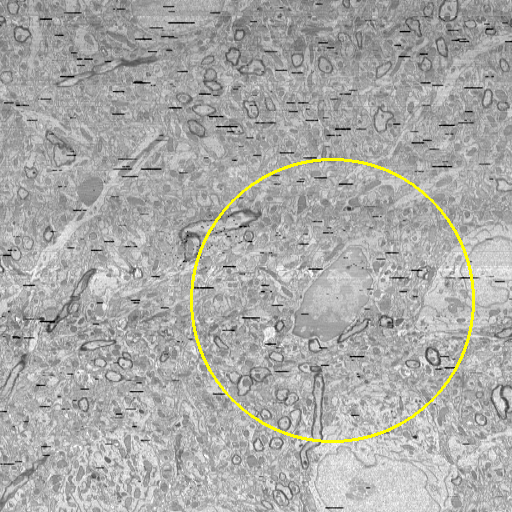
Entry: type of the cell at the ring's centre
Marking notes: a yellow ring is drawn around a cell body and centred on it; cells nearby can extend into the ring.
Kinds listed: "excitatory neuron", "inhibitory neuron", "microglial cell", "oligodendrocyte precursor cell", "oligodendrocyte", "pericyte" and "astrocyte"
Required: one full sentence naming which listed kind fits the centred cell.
My entry names a microglial cell as the cell whose body the yellow ring centres on.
